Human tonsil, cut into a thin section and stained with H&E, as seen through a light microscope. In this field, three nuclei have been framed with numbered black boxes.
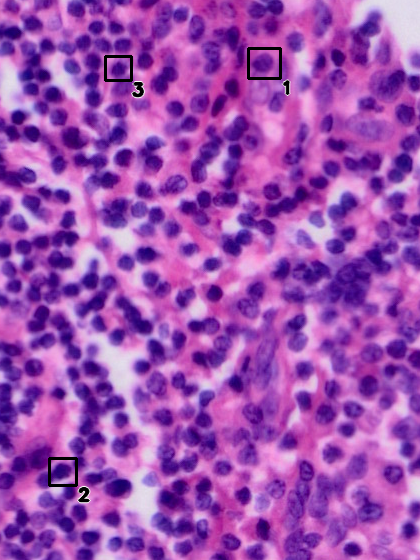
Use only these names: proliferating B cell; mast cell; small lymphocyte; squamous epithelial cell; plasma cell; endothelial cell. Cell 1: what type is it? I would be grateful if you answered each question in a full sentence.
Cell 1 is classified as an endothelial cell.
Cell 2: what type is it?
The cell marked with number 2 is a small lymphocyte.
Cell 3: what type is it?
In this section, the cell tagged 3 is a small lymphocyte.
